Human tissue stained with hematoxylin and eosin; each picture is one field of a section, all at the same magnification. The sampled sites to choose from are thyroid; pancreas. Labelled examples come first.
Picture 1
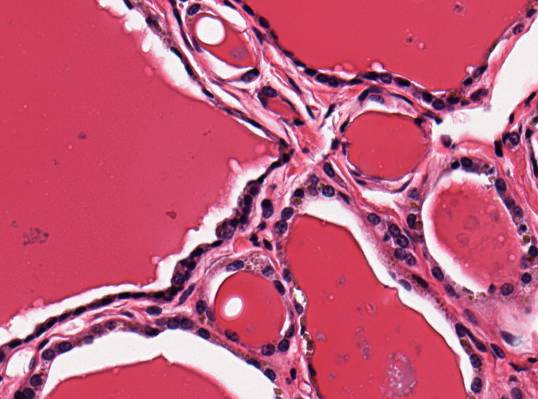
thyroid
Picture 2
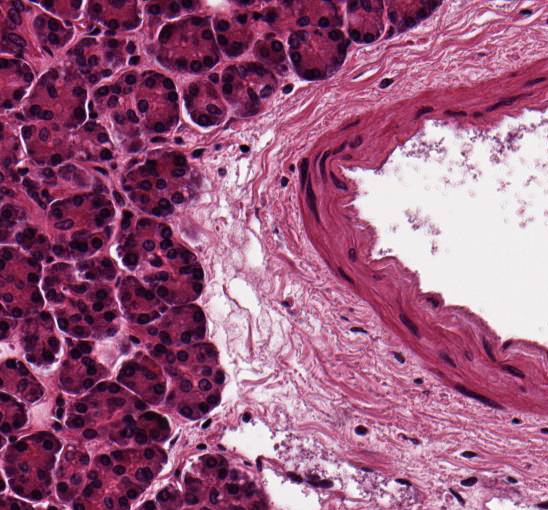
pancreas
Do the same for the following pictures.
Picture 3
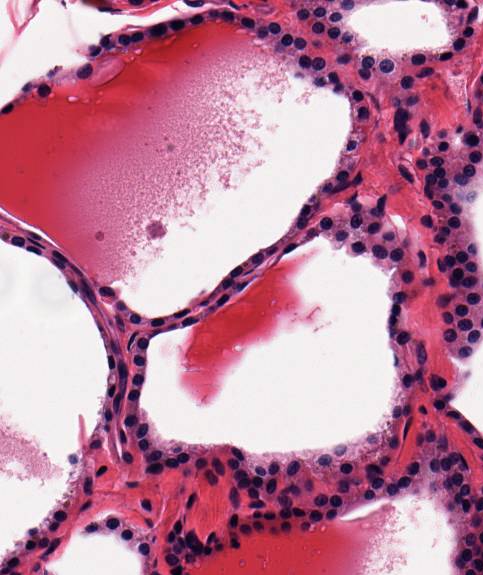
thyroid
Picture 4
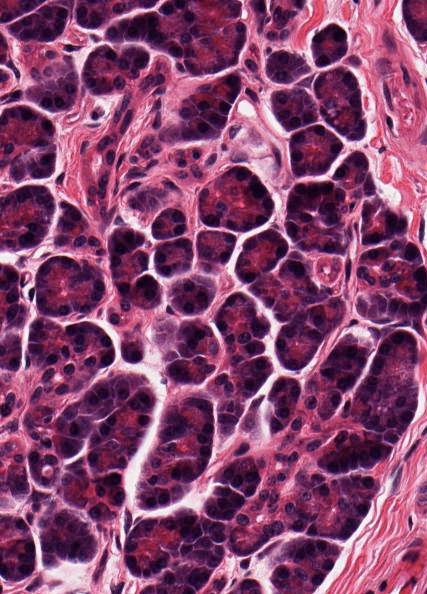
pancreas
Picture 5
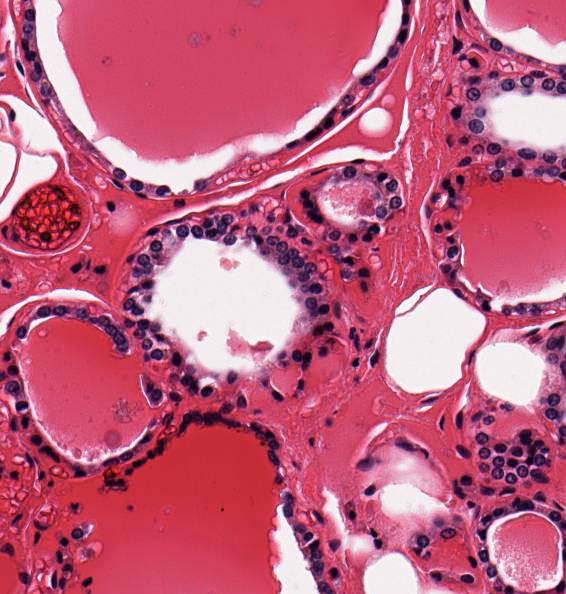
thyroid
